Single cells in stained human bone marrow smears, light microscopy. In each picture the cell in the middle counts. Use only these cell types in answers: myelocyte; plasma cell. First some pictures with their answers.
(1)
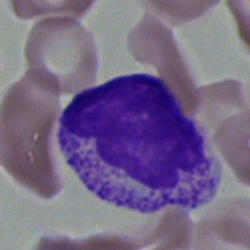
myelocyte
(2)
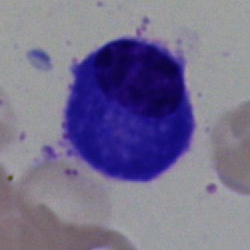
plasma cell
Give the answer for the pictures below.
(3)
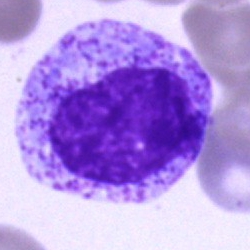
myelocyte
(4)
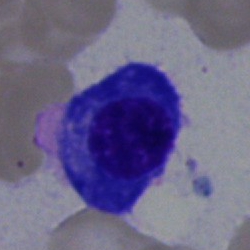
plasma cell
